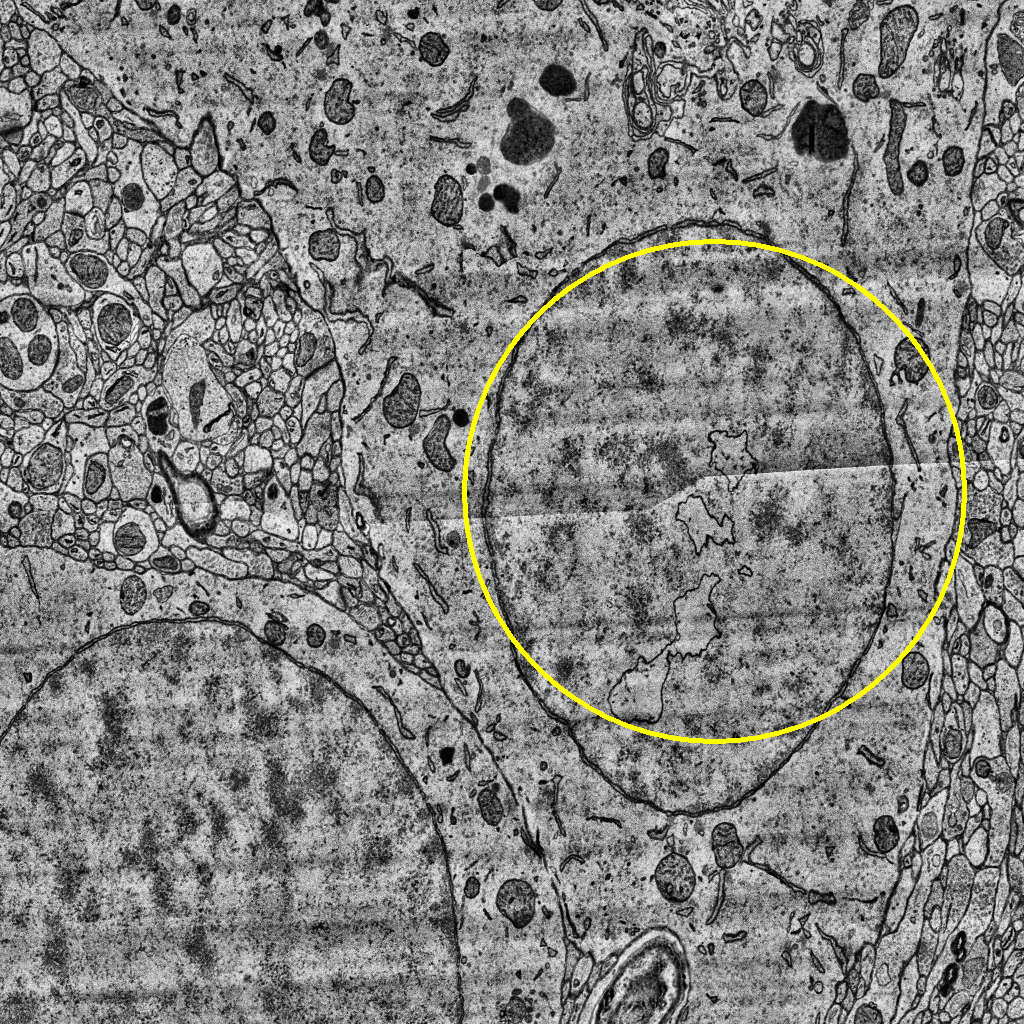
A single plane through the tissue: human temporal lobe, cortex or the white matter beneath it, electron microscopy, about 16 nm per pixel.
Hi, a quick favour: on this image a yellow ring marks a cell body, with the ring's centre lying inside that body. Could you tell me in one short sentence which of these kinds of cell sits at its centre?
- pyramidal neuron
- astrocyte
The ring's centre lies in a pyramidal neuron.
